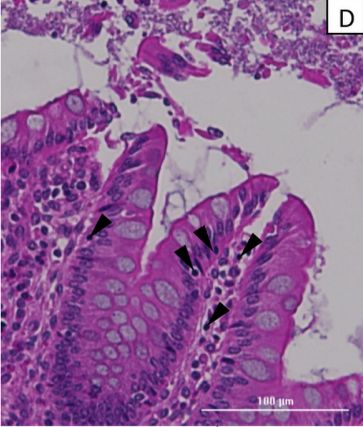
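This is colonic mucosa lined by a tall columnar epithelium. Many pale, rounded vacuoles sit between the epithelial cells, whose elongated purple nuclei lie toward the base. Scattered within the epithelial layer are small leukocytes with round, dense, dark nuclei, and a pink-purple connective tissue core lies between the folds, with loose debris in the lumen above.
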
